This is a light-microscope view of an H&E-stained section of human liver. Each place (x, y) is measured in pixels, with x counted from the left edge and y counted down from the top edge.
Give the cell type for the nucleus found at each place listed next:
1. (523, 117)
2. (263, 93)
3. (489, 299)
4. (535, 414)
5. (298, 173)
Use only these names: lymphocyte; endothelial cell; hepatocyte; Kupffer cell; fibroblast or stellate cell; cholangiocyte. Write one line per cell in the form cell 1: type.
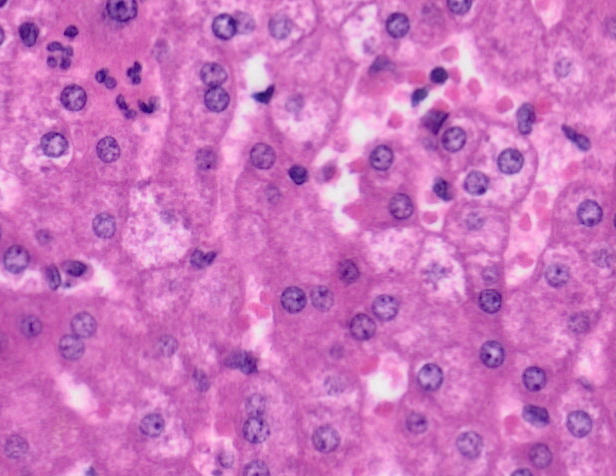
cell 1: Kupffer cell
cell 2: endothelial cell
cell 3: hepatocyte
cell 4: endothelial cell
cell 5: fibroblast or stellate cell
